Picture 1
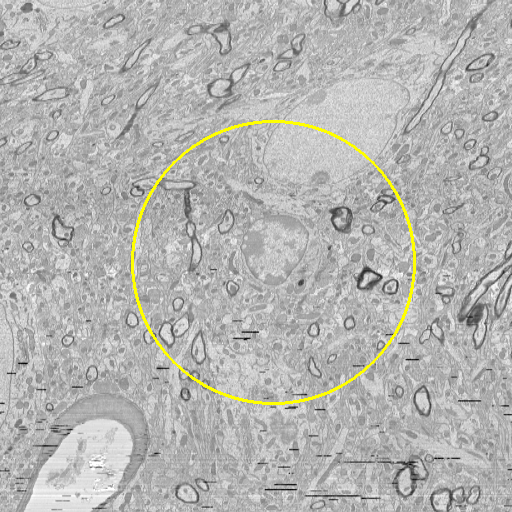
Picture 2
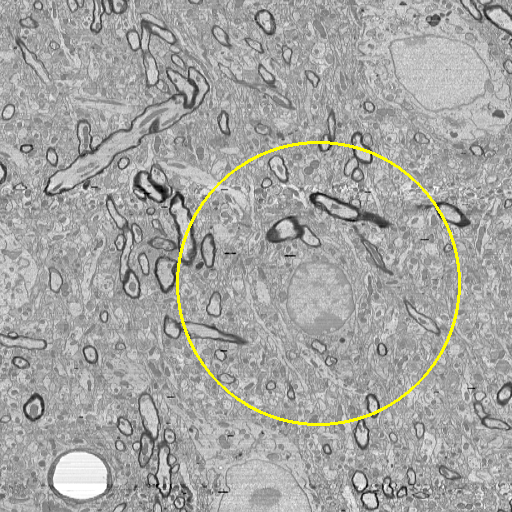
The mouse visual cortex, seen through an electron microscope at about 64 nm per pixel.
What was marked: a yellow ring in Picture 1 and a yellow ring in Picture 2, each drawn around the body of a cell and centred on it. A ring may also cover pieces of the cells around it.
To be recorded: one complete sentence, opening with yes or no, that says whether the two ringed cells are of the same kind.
Yes, the two ringed cells are of the same kind.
